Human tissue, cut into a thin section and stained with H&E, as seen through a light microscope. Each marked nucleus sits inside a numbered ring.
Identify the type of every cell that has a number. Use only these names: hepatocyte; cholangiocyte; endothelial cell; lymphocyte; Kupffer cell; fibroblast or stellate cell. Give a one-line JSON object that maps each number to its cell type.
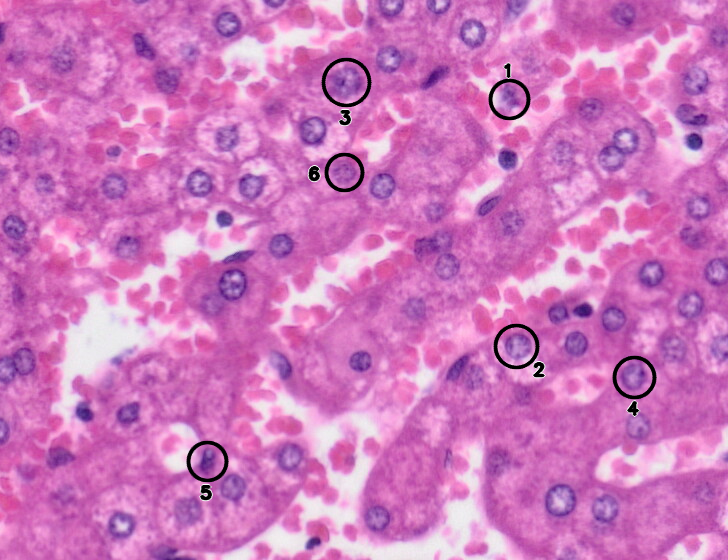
{"1": "endothelial cell", "2": "hepatocyte", "3": "hepatocyte", "4": "hepatocyte", "5": "fibroblast or stellate cell", "6": "hepatocyte"}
